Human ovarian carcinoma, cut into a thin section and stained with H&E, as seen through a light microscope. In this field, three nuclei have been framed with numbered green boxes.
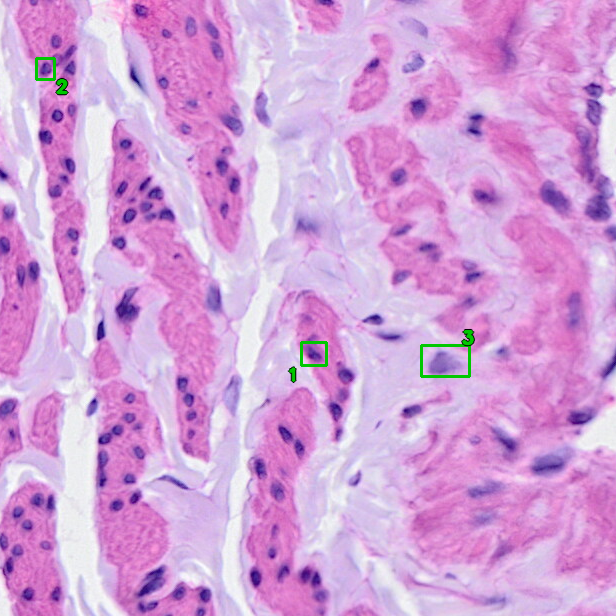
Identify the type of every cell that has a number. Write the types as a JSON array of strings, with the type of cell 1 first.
["smooth muscle cell", "smooth muscle cell", "fibroblast"]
